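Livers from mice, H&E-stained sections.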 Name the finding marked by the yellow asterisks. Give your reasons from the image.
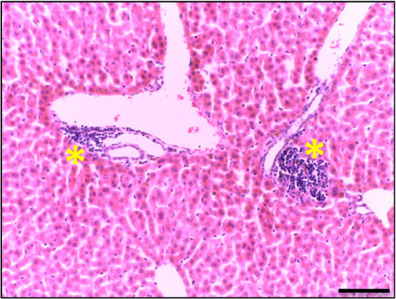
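Portal inflammation. Dense clusters of small, dark purple nuclei lie at the asterisks. The clusters sit beside large vessels and a small duct.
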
